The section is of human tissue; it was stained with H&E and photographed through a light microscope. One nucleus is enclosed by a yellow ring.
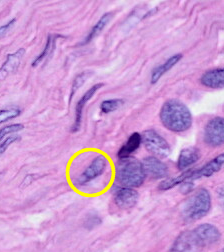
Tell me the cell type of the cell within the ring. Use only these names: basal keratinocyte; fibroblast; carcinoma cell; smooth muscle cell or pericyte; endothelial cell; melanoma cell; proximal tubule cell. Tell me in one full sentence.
The classification of the cell within the ring is as a fibroblast.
